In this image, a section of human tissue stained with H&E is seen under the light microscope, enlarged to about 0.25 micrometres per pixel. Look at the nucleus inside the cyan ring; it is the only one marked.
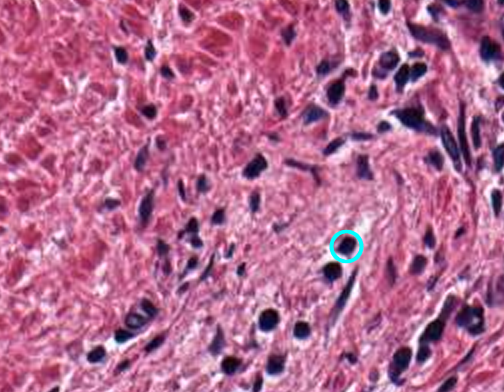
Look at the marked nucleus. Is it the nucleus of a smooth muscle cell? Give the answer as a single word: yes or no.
no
